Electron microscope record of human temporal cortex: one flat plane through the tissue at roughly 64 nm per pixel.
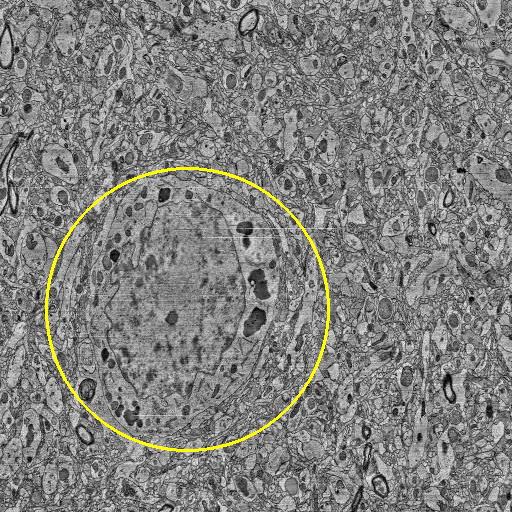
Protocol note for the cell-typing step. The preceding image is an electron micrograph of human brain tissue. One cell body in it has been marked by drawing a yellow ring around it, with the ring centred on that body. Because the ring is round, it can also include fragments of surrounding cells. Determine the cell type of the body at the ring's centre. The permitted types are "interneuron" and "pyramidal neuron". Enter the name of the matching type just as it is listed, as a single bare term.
interneuron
